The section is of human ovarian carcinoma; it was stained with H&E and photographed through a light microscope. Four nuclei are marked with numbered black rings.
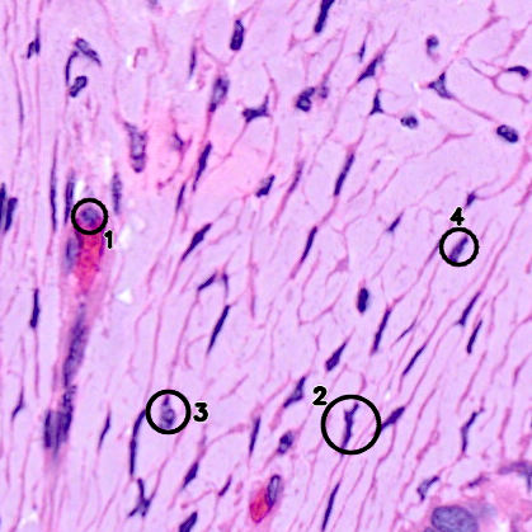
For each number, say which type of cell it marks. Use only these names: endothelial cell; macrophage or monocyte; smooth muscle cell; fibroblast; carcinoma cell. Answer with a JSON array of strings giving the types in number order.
["endothelial cell", "fibroblast", "fibroblast", "fibroblast"]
